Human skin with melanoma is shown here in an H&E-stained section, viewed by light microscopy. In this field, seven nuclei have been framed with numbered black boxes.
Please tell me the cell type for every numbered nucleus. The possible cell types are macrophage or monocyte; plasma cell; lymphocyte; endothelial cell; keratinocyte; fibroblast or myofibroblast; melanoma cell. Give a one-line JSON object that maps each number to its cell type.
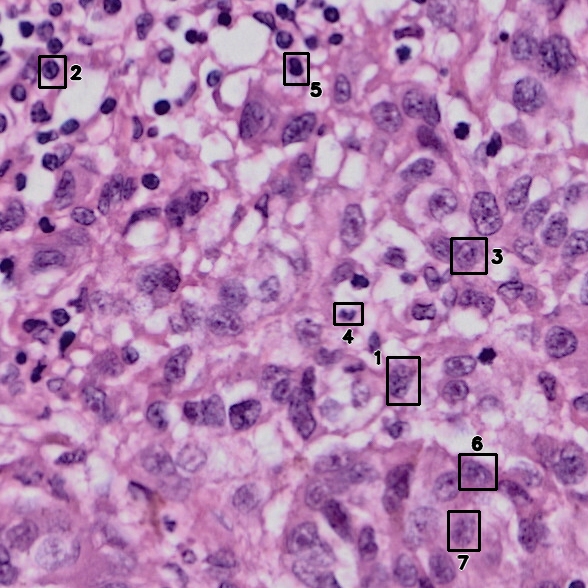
{"1": "melanoma cell", "2": "lymphocyte", "3": "melanoma cell", "4": "lymphocyte", "5": "lymphocyte", "6": "melanoma cell", "7": "melanoma cell"}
